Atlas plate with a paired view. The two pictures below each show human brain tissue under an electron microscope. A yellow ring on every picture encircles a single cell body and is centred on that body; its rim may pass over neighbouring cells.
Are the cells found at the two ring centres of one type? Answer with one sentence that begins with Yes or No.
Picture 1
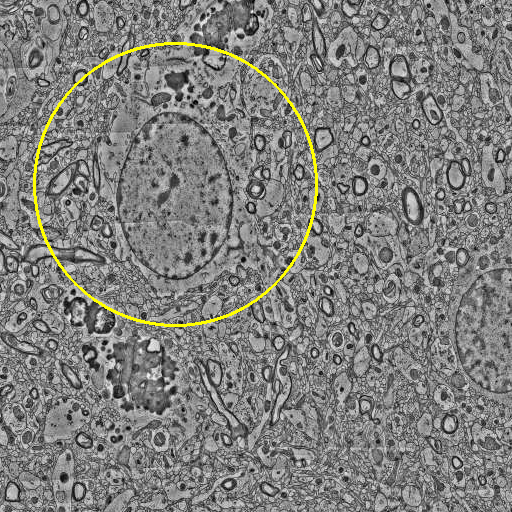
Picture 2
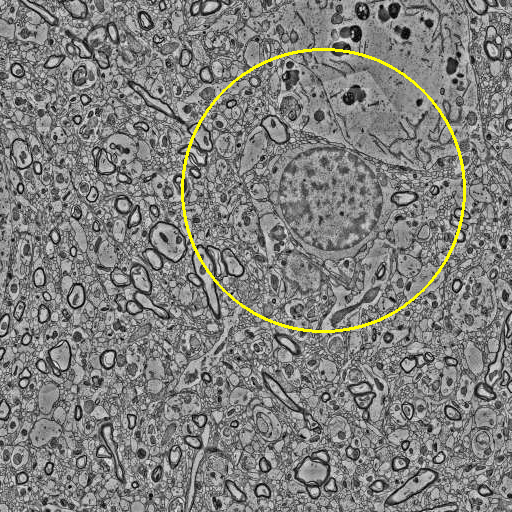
No, the two cells lying at the centres of the rings are of two types.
